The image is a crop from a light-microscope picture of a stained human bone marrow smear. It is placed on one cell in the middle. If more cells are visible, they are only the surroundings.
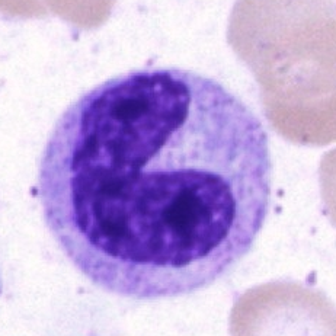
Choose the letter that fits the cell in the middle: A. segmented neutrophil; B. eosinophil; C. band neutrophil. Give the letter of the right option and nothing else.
C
